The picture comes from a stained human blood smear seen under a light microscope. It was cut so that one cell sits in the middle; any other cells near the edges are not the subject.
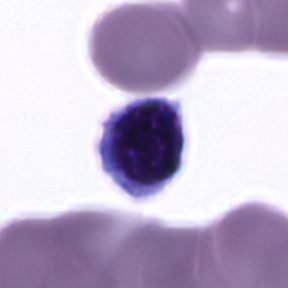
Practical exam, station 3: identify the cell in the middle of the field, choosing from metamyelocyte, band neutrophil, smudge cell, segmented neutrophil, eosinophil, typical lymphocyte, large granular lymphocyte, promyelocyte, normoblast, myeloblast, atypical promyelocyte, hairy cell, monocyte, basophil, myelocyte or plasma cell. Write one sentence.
The centered cell in this crop is a plasma cell.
